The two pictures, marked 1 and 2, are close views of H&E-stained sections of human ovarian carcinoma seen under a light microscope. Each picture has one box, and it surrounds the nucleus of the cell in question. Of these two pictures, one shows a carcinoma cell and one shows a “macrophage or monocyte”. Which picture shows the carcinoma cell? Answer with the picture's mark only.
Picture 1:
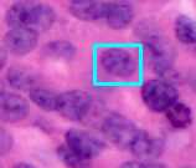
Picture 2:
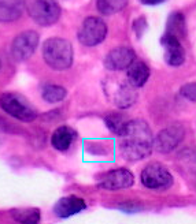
1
